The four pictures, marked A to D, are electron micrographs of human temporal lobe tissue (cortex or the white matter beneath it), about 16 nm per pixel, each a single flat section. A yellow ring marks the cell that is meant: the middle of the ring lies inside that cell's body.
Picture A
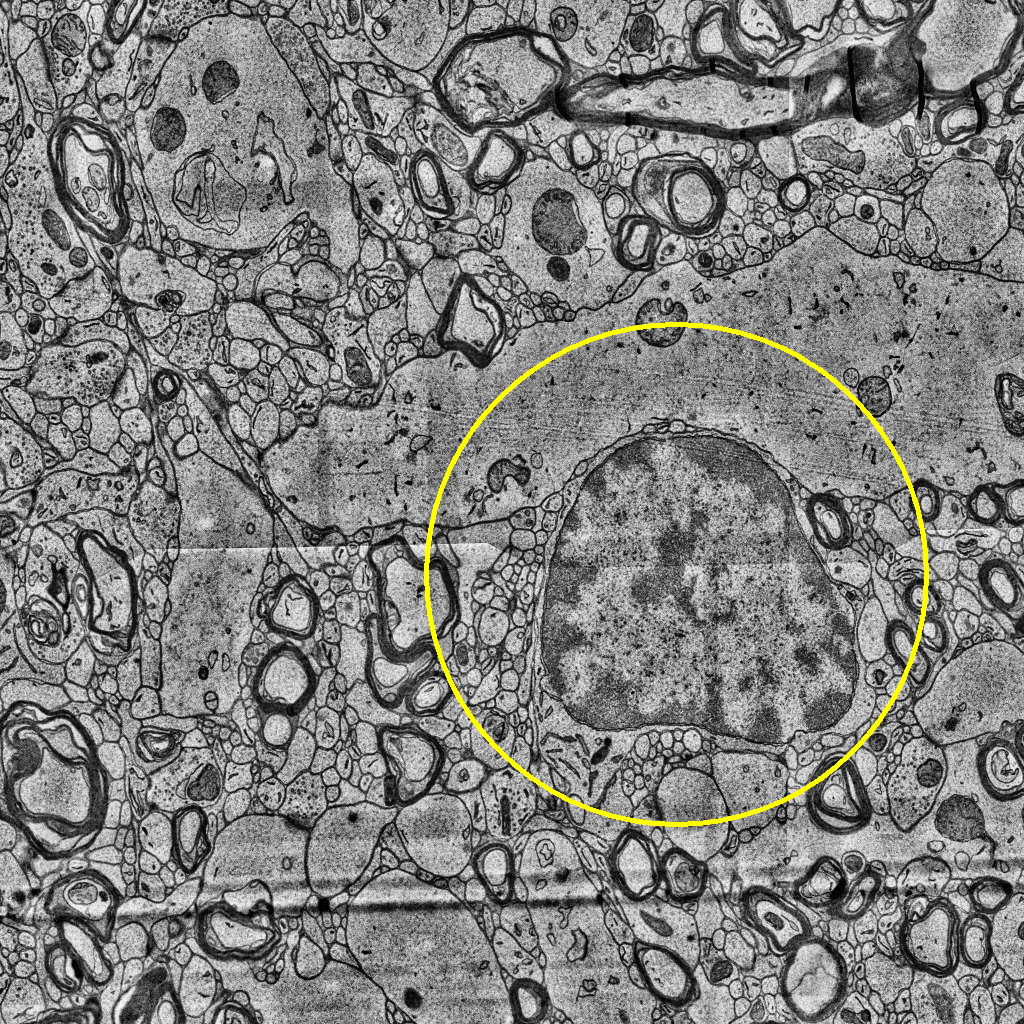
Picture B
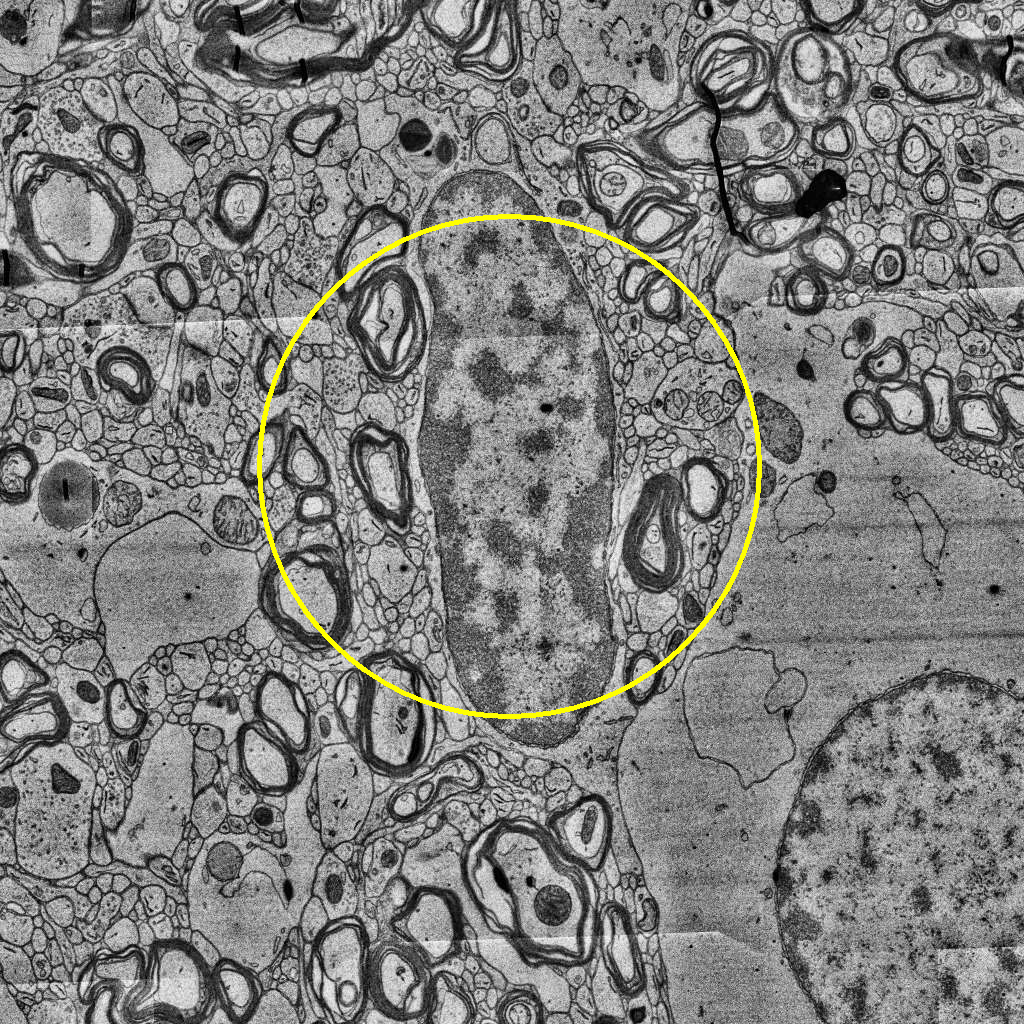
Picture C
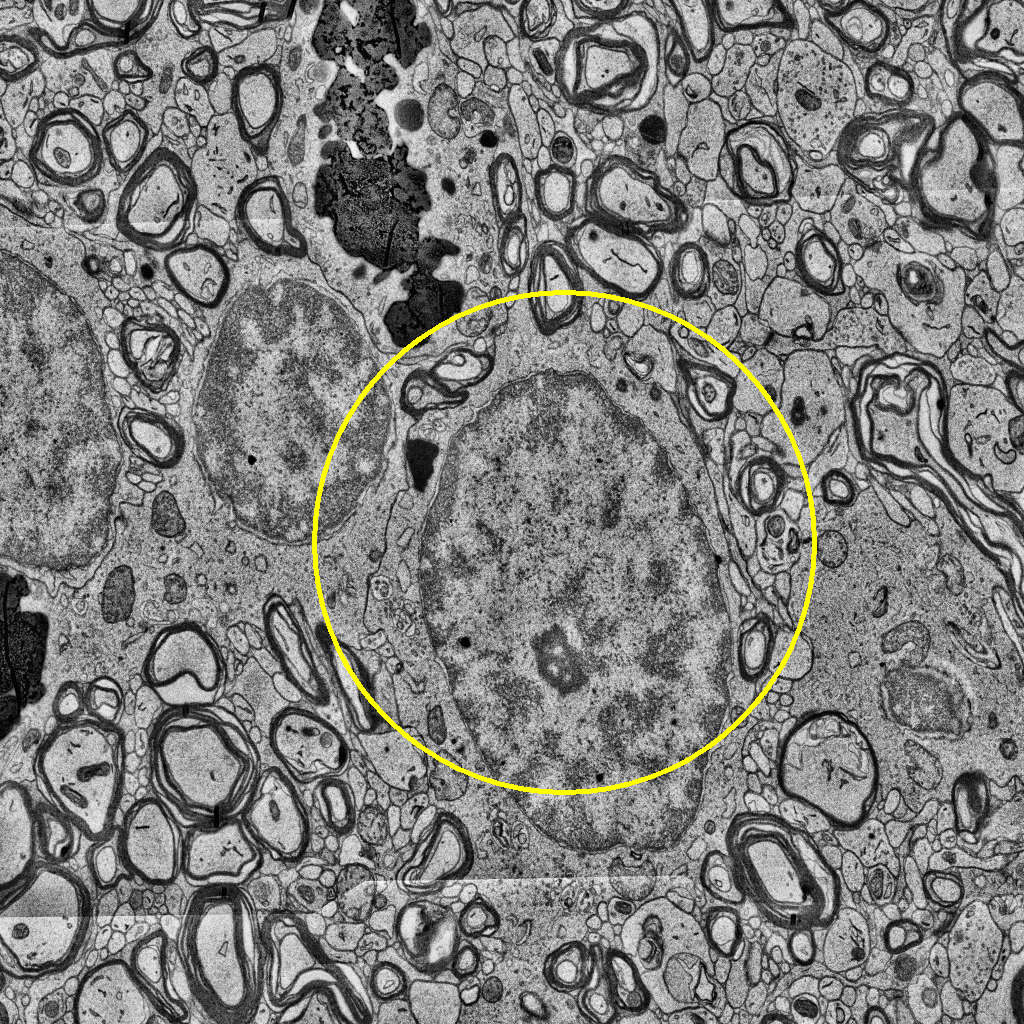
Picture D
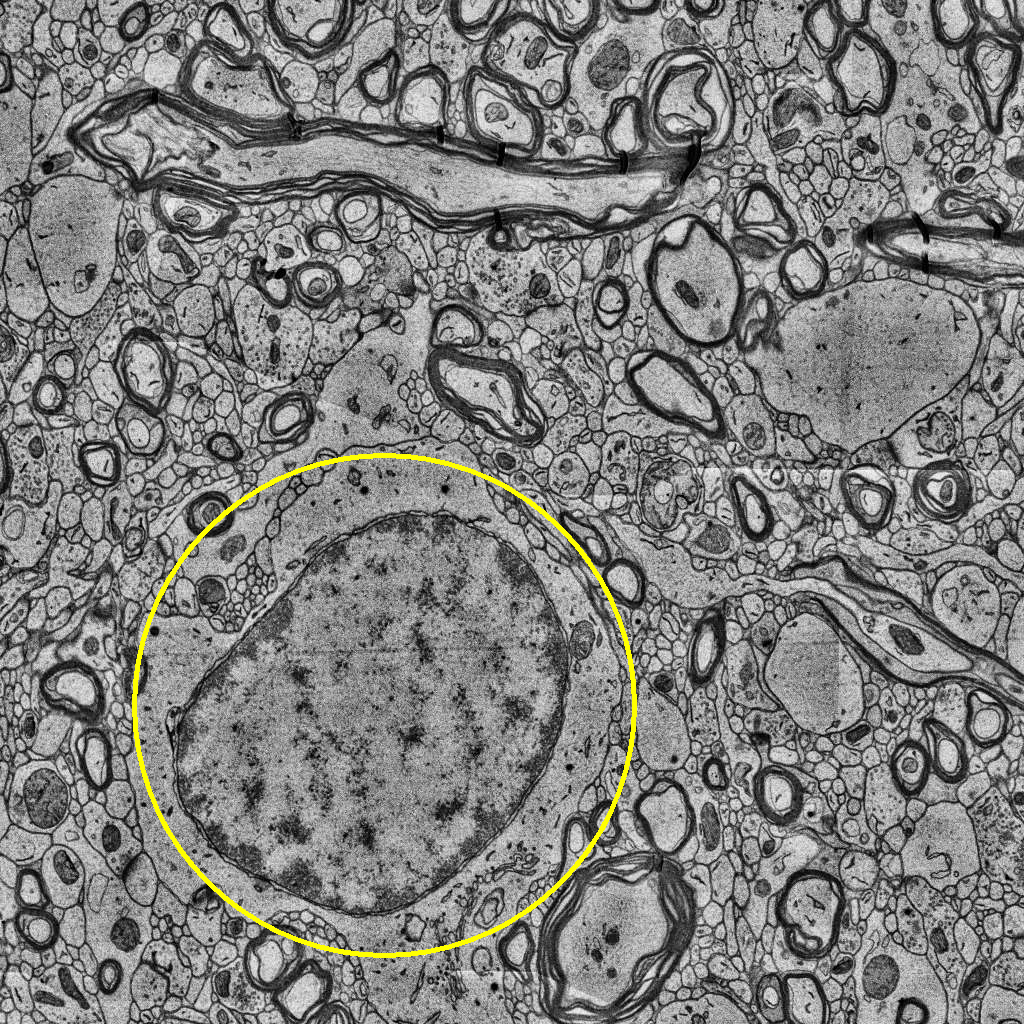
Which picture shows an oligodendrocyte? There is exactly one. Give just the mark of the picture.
C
